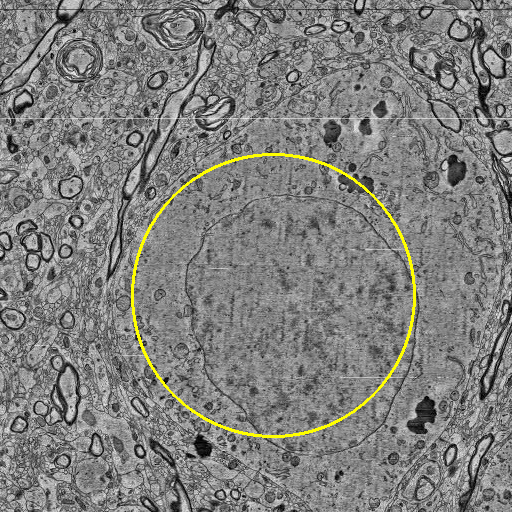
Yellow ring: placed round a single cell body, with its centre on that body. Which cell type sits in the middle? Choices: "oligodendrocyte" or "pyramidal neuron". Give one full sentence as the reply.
It is a pyramidal neuron whose cell body sits at the centre of the yellow ring.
